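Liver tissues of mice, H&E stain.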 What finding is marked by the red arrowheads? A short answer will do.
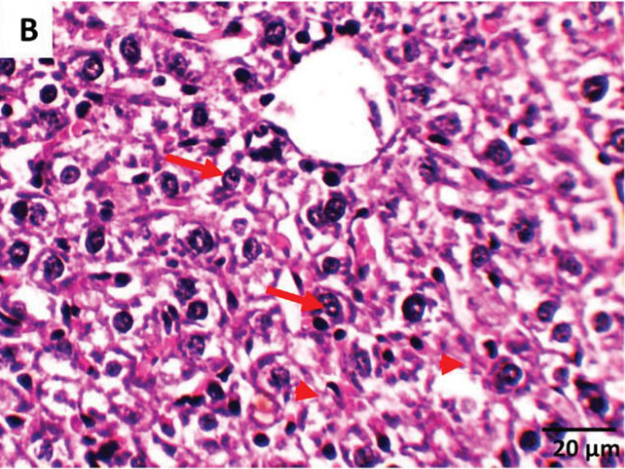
karyolysis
